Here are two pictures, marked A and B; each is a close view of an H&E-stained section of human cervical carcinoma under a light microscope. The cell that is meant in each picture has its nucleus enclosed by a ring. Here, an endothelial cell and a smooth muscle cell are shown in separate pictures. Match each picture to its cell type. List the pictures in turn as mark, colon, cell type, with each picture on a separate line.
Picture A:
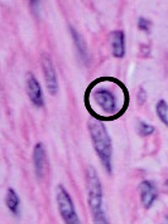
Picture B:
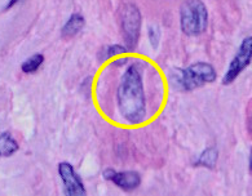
A: smooth muscle cell
B: endothelial cell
